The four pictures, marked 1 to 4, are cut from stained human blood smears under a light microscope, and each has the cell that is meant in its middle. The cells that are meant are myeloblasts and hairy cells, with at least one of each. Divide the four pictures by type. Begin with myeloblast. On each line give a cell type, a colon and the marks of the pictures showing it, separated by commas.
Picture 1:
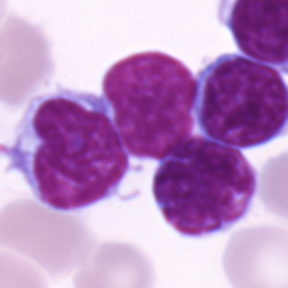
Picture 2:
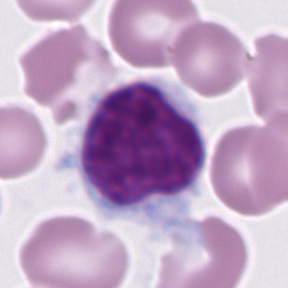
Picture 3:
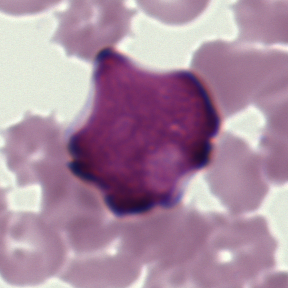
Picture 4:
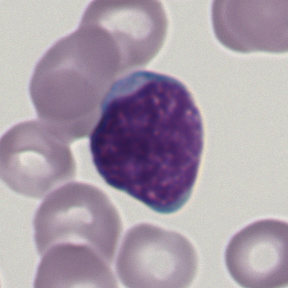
myeloblast: 1, 3, 4
hairy cell: 2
